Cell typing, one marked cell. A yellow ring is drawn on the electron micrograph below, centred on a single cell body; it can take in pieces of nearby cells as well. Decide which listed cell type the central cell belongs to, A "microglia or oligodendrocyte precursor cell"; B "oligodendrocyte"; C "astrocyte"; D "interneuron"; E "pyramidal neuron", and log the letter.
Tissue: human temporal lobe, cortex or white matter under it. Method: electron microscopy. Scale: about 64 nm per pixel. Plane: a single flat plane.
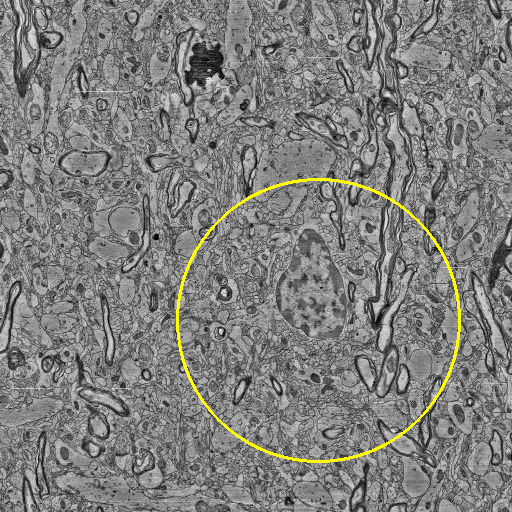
A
